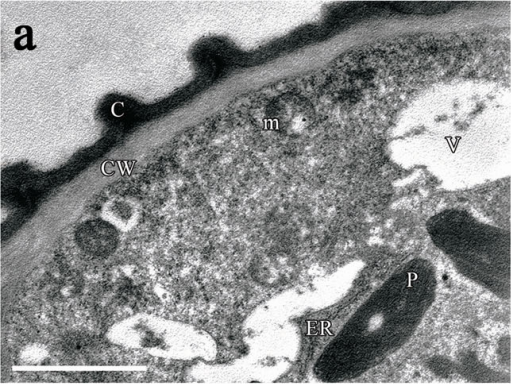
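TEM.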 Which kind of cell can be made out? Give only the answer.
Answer: Epidermal cell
